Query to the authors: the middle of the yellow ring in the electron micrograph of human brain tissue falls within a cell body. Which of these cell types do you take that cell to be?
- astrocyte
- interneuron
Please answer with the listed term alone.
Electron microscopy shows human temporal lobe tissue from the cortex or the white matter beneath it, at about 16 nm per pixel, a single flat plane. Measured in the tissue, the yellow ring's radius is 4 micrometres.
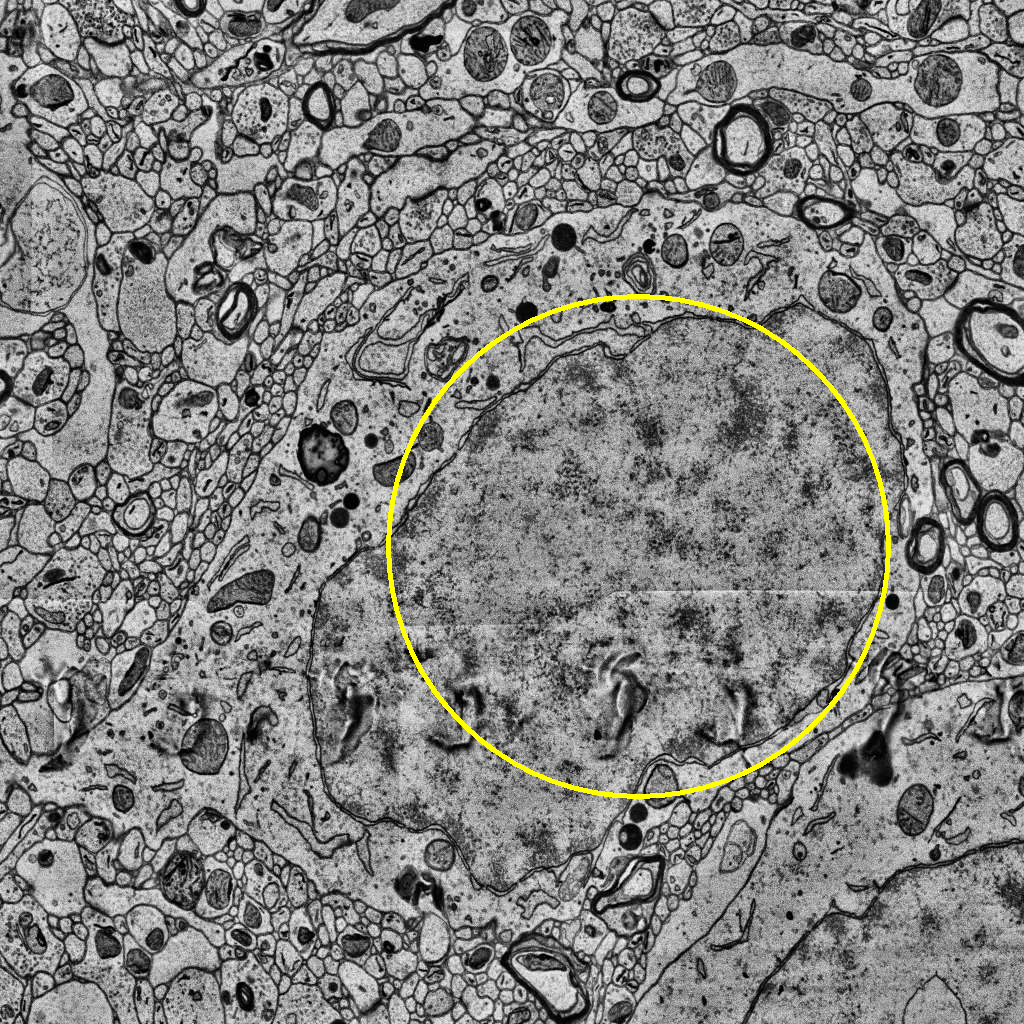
interneuron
